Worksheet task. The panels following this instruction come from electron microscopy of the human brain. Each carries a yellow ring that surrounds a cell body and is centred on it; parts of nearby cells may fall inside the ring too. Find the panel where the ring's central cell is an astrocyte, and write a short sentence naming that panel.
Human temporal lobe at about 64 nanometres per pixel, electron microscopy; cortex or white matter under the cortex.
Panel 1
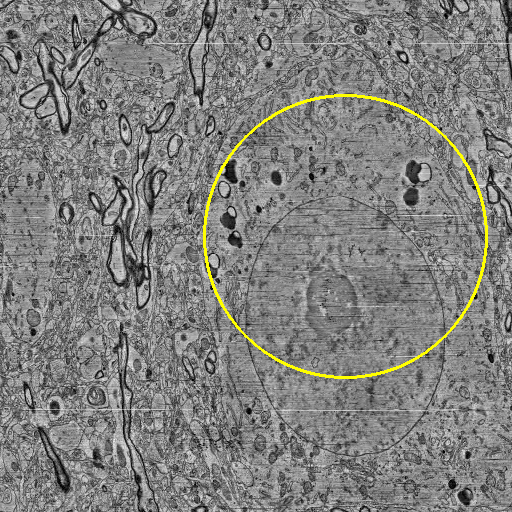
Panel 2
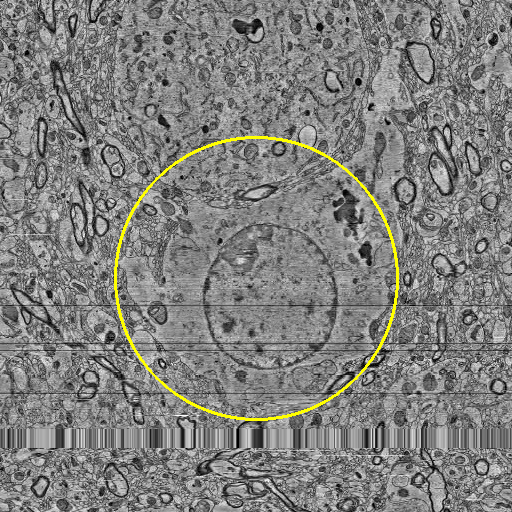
The cell sought is in Panel 2.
